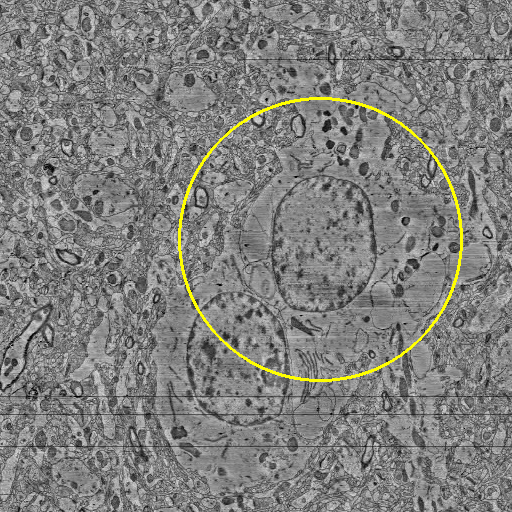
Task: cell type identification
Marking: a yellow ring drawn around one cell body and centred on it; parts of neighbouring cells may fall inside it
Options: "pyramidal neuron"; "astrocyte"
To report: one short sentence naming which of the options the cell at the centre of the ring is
The cell at the centre of the ring is an astrocyte.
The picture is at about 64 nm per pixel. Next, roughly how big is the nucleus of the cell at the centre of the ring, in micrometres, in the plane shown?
Approximately 9 x 7 micrometres in this plane.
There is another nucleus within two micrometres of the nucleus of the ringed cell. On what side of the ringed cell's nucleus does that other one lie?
The second nucleus lies to the lower left of it.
